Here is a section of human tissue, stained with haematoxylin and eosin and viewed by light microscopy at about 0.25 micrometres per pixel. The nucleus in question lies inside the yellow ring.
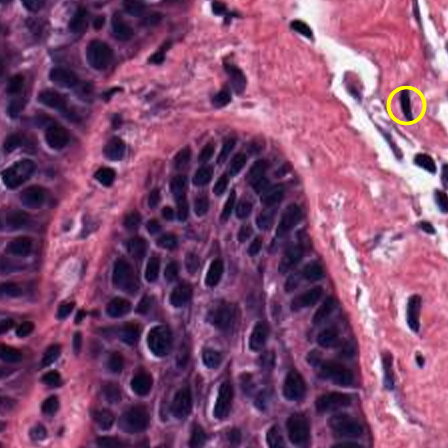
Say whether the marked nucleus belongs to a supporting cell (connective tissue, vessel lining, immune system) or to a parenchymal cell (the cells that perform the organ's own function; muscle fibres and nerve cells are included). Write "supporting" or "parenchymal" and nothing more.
supporting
